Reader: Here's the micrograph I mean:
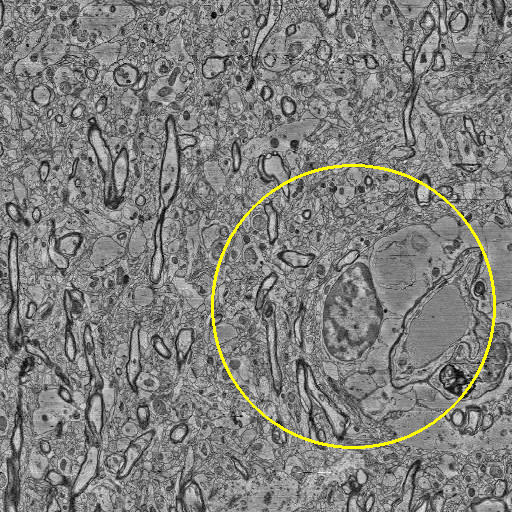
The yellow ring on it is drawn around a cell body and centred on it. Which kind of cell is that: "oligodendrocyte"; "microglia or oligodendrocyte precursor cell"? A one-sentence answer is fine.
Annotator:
The ring is centred on a microglial cell or oligodendrocyte precursor cell.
